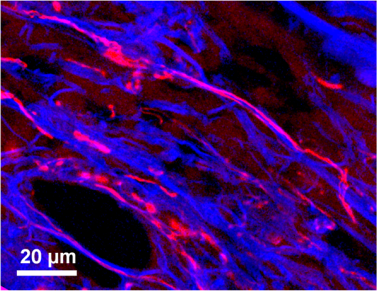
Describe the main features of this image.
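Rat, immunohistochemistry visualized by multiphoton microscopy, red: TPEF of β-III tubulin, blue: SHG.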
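This tissue shows thin red axons running diagonally through dense bundles of wavy blue fibres. The red axons are slender, partly beaded and run roughly parallel to the blue fibres they accompany. At the lower left a dark oval gap is outlined by blue fibres.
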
